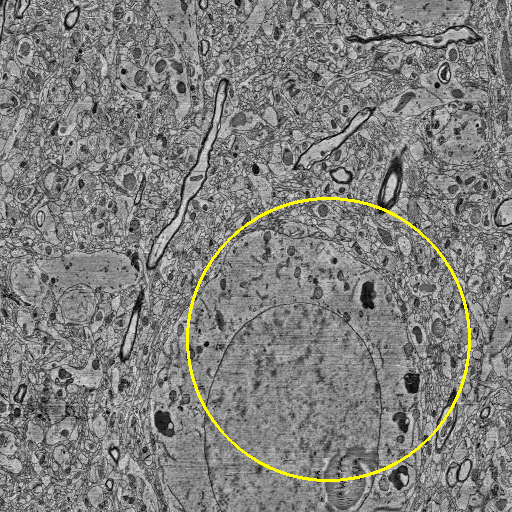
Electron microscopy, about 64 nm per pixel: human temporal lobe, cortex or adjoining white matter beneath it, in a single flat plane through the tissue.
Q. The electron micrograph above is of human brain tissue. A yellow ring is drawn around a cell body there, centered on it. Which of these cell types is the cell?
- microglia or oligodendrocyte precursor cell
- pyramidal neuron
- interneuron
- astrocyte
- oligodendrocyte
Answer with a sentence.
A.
The cell under the ring's center is a pyramidal neuron.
